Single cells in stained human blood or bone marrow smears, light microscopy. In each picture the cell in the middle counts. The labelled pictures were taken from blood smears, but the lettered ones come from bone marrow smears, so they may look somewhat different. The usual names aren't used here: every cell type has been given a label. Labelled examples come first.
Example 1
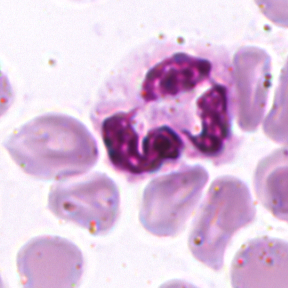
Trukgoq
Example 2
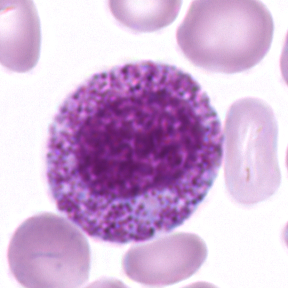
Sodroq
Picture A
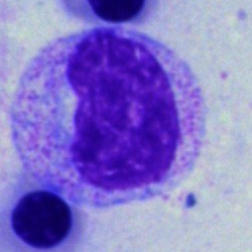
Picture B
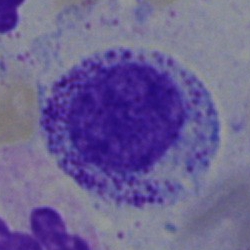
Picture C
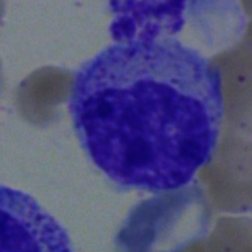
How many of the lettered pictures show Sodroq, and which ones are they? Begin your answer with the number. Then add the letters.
Count: 3 (A, B, C)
